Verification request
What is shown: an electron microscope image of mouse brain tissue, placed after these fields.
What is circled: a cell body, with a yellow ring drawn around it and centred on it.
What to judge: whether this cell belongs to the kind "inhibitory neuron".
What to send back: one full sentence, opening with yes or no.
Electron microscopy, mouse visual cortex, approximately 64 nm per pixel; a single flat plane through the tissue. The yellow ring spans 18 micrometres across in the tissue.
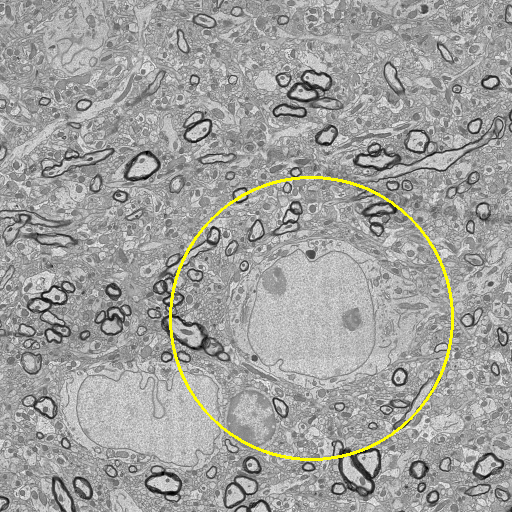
No, the cell on which the yellow ring is centred in the picture is of a different kind.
